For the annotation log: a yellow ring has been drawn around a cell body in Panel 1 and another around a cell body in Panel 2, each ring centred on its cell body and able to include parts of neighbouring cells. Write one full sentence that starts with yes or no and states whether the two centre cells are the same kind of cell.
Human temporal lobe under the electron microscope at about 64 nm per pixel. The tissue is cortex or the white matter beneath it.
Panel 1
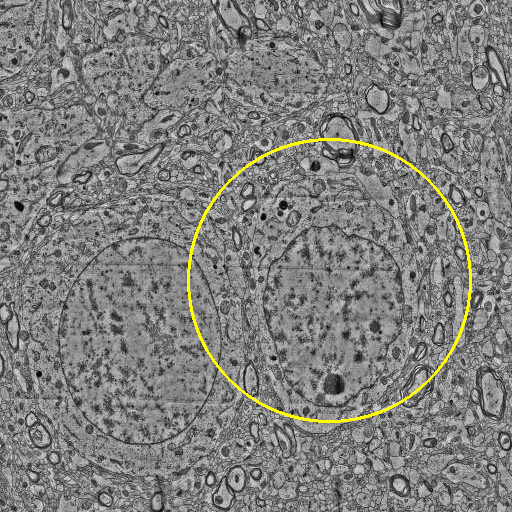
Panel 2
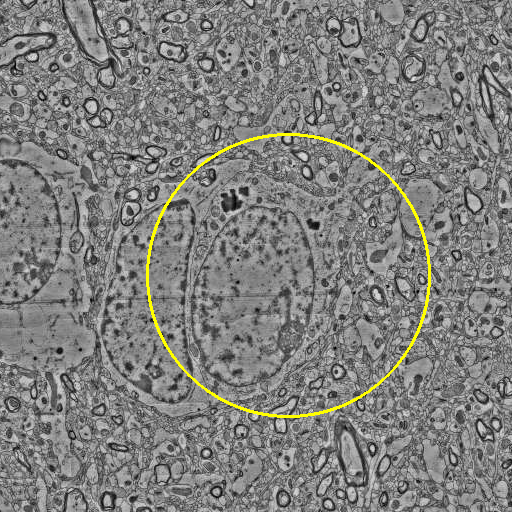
No, the two centre cells are two kinds of cell.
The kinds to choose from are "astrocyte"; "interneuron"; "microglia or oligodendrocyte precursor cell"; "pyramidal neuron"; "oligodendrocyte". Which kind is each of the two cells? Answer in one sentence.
Of the two, the first cell is a pyramidal neuron and the second cell is an interneuron.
